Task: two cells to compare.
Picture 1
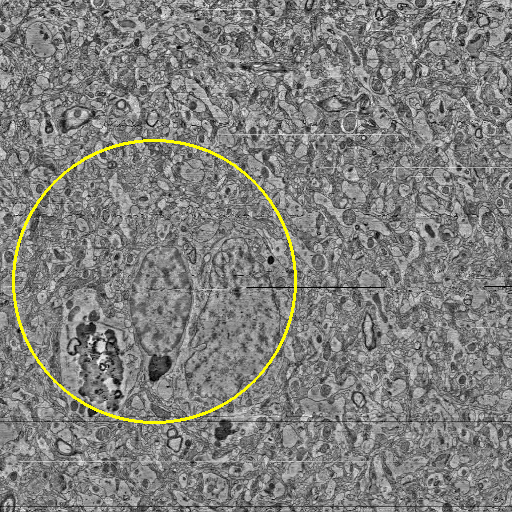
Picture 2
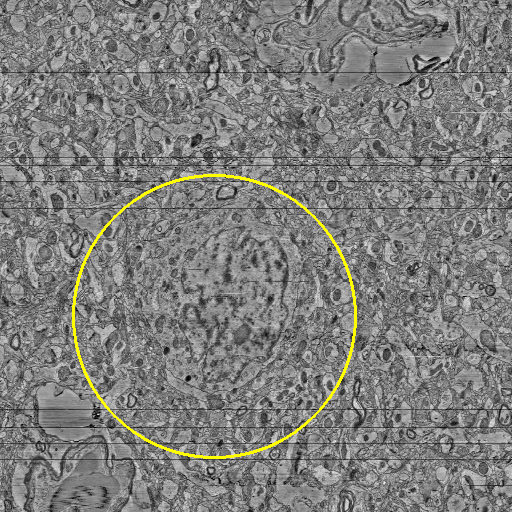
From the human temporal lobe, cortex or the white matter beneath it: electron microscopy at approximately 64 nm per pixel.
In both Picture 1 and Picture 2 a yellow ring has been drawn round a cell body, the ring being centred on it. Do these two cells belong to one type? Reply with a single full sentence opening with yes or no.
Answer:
No, the two cells at the ring centres in Picture 1 and Picture 2 are of two types.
